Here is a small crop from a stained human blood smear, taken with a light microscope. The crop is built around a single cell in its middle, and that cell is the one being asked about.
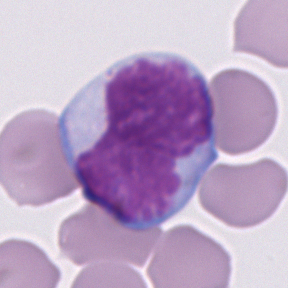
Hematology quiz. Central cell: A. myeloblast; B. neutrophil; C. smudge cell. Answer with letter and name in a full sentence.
Option A holds up: the cell in the middle is a myeloblast.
